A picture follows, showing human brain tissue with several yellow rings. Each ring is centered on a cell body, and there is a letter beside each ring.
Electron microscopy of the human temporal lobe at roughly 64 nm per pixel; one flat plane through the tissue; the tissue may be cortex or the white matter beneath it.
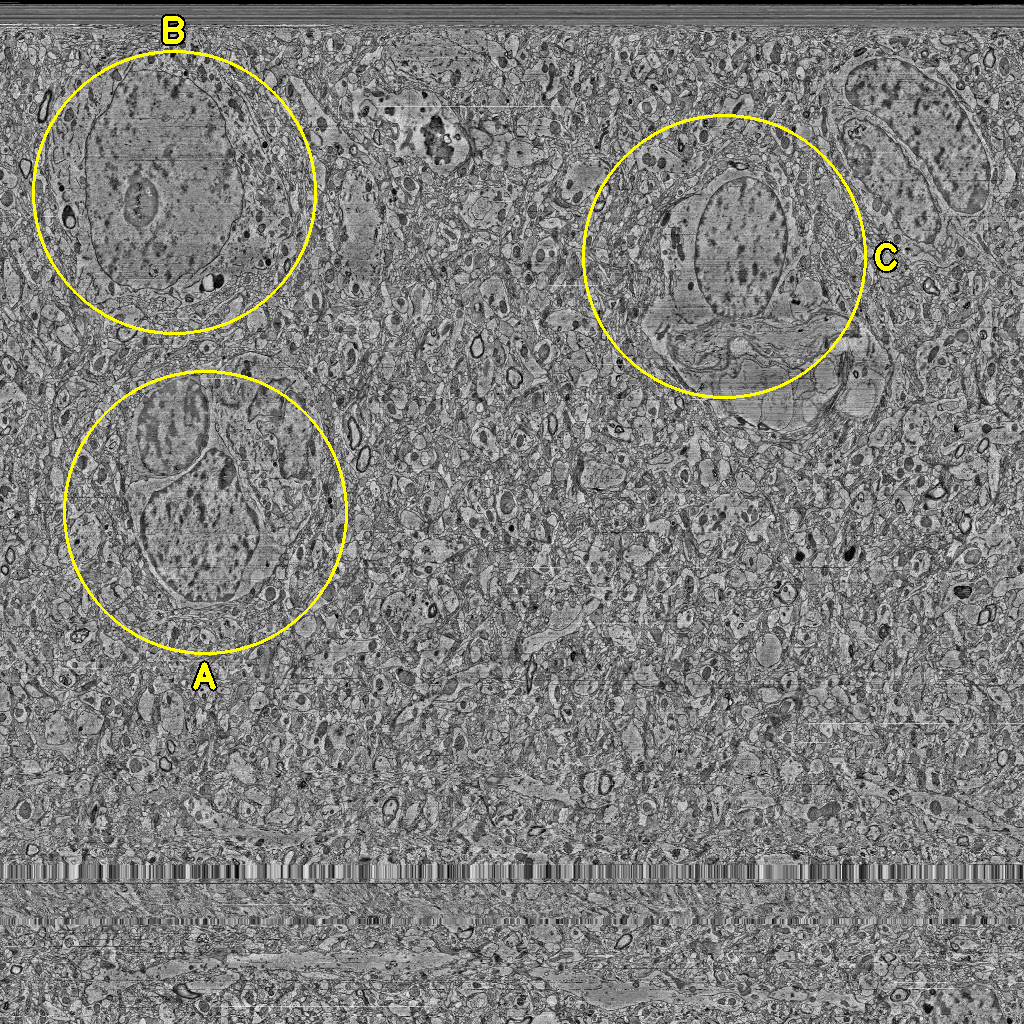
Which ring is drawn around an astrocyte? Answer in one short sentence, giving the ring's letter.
Ring C is drawn around it.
